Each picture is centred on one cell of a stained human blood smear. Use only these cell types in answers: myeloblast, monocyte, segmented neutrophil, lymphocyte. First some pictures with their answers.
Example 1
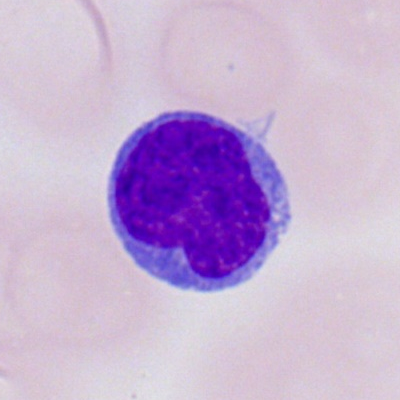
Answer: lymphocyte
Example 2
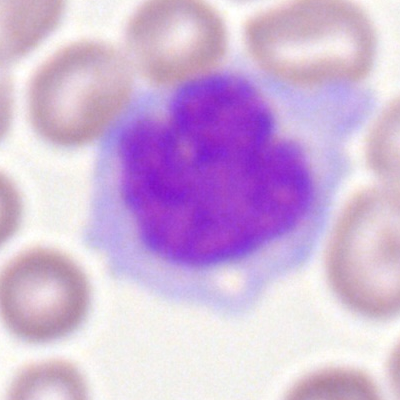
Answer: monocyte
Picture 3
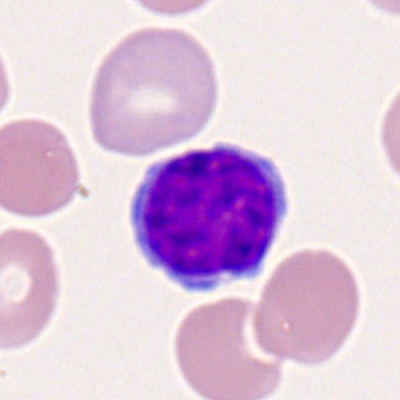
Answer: lymphocyte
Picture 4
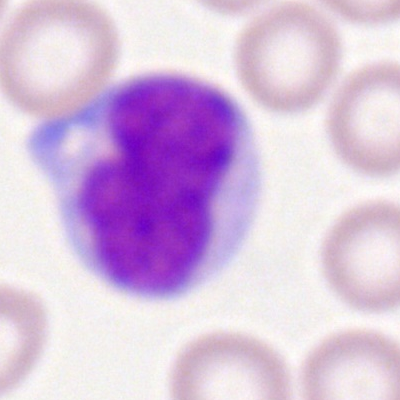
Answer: monocyte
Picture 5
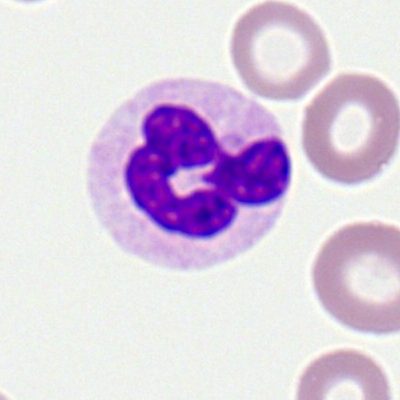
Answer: segmented neutrophil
